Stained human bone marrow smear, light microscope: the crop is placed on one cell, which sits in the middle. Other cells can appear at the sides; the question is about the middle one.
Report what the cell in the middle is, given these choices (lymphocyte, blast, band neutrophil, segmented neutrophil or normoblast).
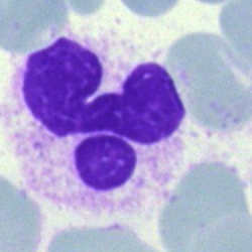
segmented neutrophil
